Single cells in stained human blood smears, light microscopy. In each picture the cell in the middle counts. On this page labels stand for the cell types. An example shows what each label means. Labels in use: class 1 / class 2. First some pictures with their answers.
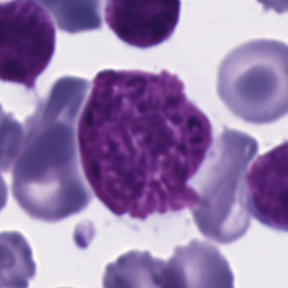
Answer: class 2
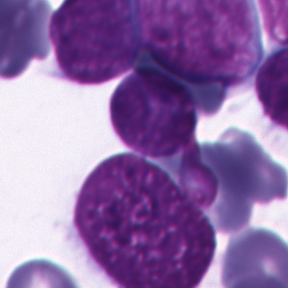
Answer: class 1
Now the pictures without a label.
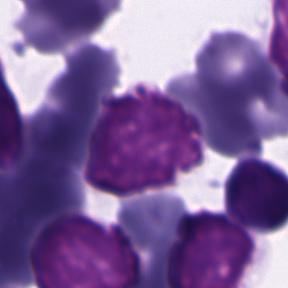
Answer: class 2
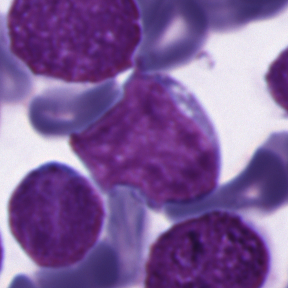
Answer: class 1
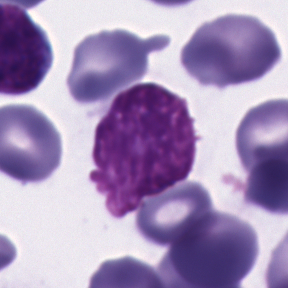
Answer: class 2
